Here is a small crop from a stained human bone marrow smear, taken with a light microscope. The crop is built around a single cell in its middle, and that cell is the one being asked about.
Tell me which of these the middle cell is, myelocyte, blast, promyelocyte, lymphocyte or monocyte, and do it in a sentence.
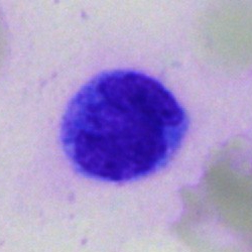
Occupying the centre of the crop is a monocyte.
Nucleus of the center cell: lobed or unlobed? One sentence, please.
Have a look at the nucleus, which is one compact mass, round, oval or kidney-shaped.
